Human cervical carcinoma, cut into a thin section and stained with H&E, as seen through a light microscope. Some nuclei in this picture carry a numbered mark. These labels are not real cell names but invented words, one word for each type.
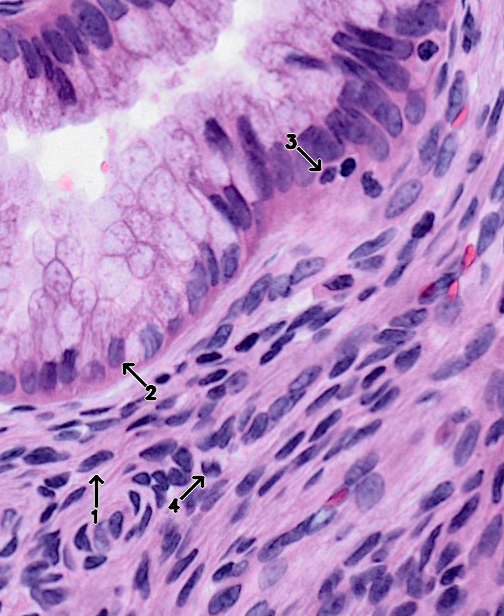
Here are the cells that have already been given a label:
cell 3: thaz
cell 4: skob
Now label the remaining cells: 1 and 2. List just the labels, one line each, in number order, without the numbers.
skob
thaz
